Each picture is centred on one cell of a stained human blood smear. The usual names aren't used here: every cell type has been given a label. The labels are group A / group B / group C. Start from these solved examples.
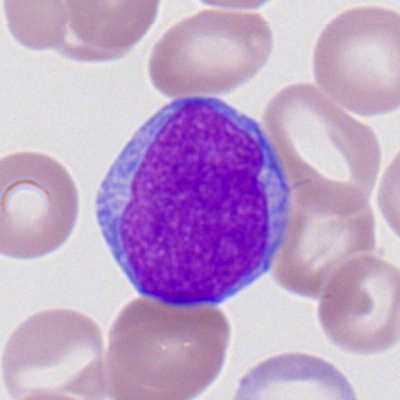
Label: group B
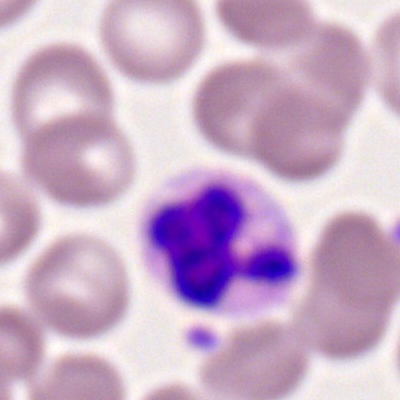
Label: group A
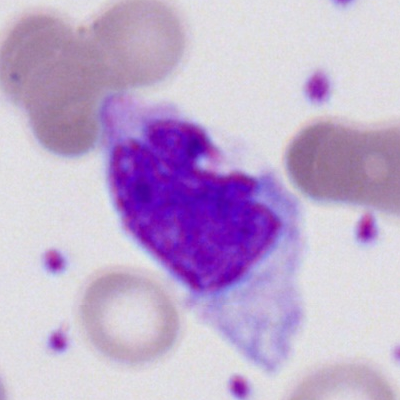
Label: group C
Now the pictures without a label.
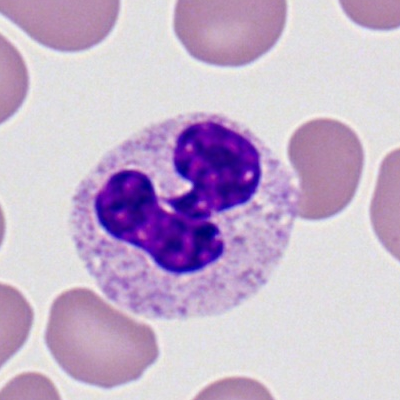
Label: group A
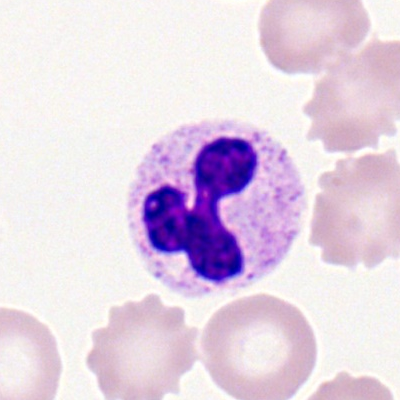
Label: group A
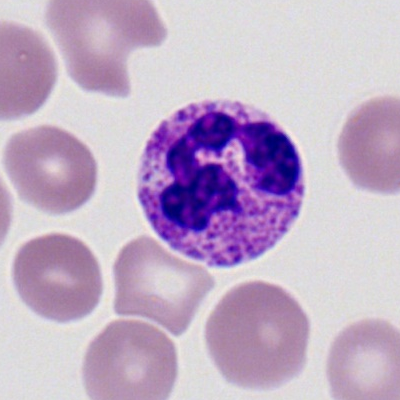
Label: group A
